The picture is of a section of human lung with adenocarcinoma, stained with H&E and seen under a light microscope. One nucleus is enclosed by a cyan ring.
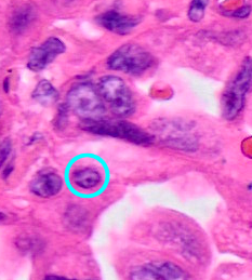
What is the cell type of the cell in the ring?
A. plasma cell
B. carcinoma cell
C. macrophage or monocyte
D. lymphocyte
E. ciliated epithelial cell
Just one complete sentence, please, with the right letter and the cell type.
As the cell in the ring is a macrophage or monocyte, the correct choice is option C.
